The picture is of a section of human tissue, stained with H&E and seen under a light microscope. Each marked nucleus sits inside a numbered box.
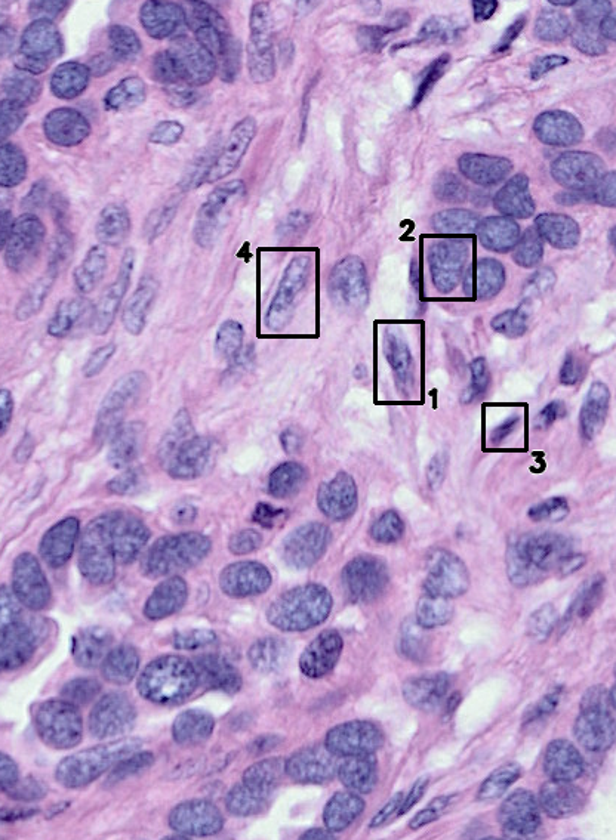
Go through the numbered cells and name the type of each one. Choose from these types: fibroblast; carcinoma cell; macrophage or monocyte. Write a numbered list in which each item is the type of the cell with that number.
1. fibroblast
2. carcinoma cell
3. fibroblast
4. fibroblast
